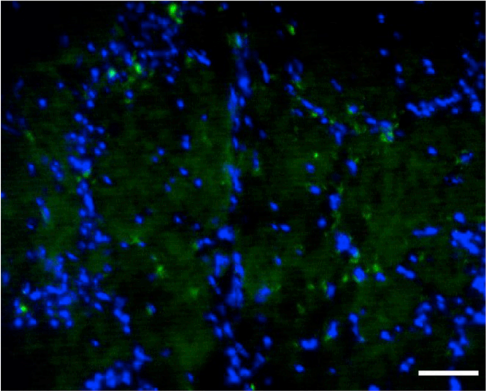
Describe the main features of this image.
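The nuclei are small and oval to elongated, and many are drawn out into short streaks. They lie in loose strands and clusters, with dark, nucleus-poor stretches between them. Small bright green spots and short green fragments lie scattered among the nuclei, several of them pressed against a nucleus. A faint, diffuse green haze covers the background.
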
